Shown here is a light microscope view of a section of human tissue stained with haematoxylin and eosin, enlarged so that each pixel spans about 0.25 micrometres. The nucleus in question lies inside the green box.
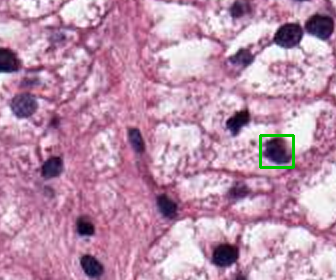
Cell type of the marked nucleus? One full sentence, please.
The marked nucleus is located in an adrenal cortical cell.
